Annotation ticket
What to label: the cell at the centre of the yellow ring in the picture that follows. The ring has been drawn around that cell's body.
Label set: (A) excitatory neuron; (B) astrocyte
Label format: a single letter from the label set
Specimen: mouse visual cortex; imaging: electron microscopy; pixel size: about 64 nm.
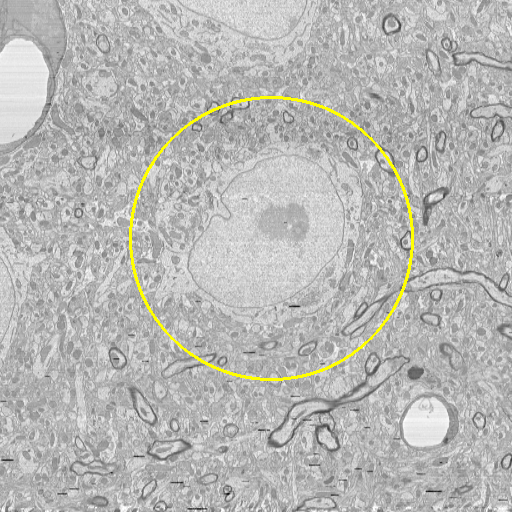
A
